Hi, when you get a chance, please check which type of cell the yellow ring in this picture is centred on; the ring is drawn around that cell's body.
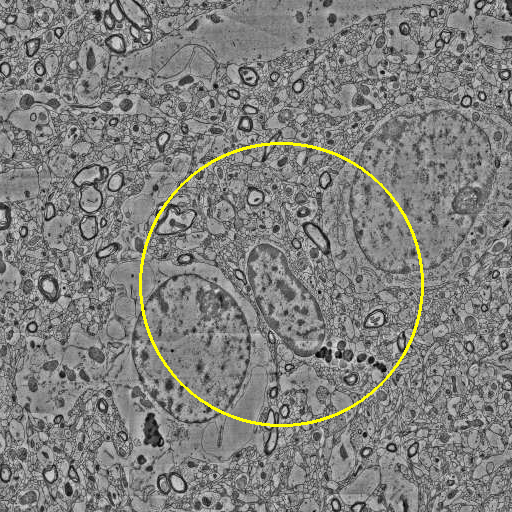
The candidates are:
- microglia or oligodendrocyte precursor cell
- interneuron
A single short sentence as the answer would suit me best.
The ring is drawn around the body of a microglial cell or oligodendrocyte precursor cell.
